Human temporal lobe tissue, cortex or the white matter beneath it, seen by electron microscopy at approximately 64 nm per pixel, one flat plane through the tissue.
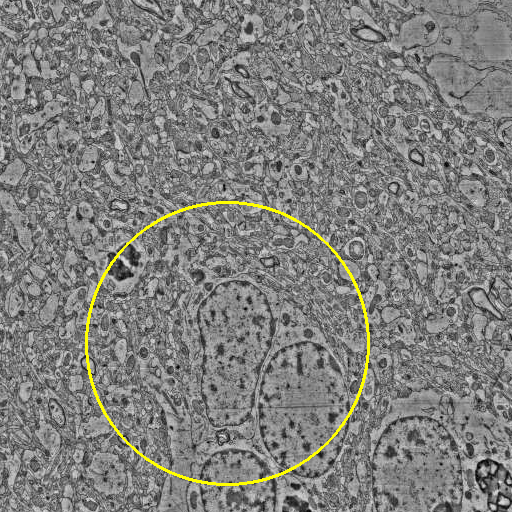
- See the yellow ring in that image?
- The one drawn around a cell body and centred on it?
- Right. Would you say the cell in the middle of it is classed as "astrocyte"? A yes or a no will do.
no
